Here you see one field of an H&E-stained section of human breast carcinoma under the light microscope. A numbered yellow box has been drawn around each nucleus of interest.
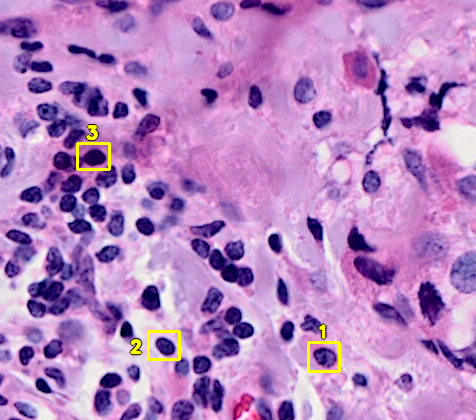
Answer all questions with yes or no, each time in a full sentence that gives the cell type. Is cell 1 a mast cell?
Yes, the cell at the mark numbered 1 is a mast cell.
